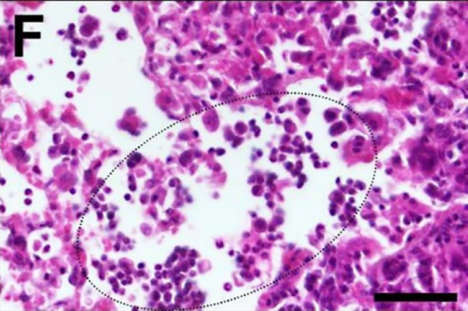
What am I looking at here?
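Here an alveolar space in the lung is filled with many small inflammatory cells, the alveolar granulocytes. They are much smaller than the surrounding cells and have dark purple, lobed or segmented nuclei with little cytoplasm.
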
